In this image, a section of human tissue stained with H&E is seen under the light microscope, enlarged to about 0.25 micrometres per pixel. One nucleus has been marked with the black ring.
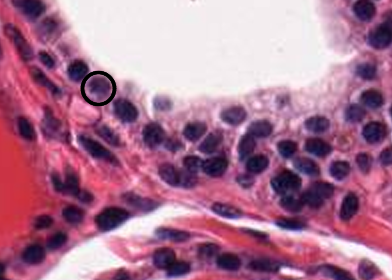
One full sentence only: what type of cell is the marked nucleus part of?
The marked nucleus is a nucleus of a thyroid follicular cell.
